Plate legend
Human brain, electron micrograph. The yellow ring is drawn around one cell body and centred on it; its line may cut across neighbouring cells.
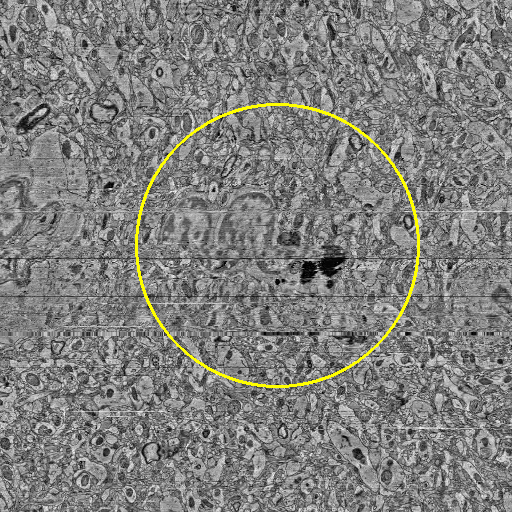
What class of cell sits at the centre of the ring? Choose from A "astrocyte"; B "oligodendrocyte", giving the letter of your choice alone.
B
